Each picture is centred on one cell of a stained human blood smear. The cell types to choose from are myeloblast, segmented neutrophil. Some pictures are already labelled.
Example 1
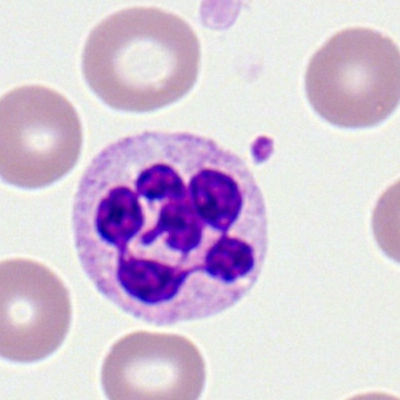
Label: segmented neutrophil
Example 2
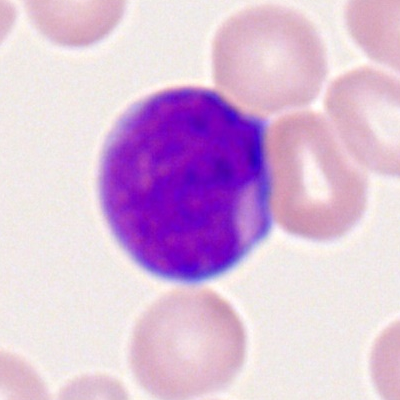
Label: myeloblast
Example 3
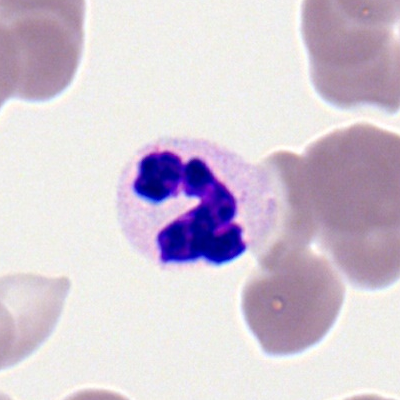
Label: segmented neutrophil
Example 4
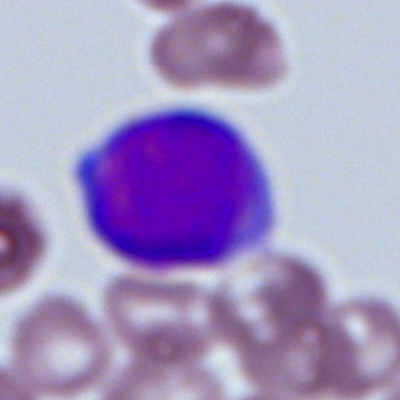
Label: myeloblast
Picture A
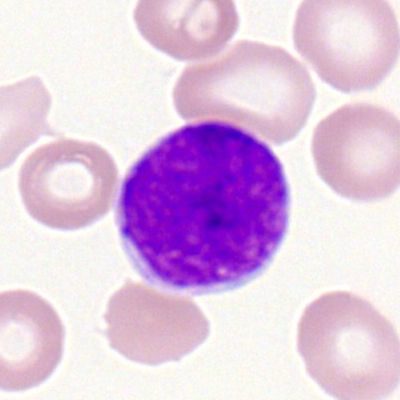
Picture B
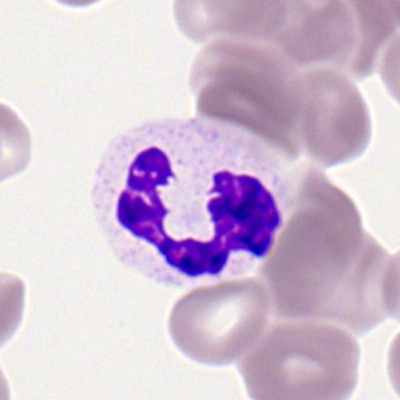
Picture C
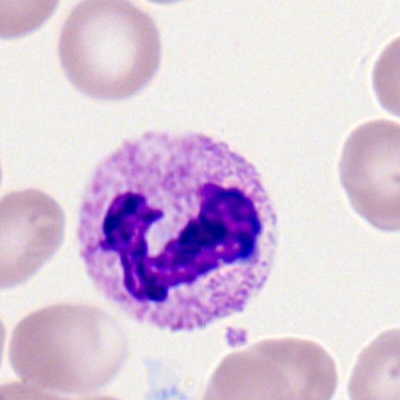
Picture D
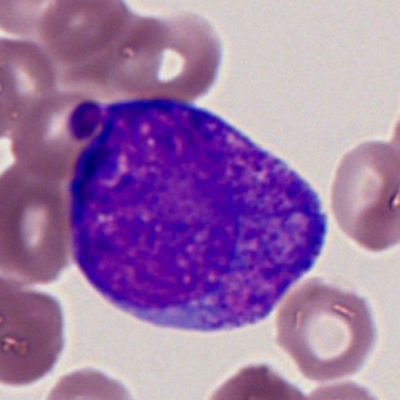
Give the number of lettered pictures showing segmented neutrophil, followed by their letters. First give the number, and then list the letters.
Count: 2 (B, C)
